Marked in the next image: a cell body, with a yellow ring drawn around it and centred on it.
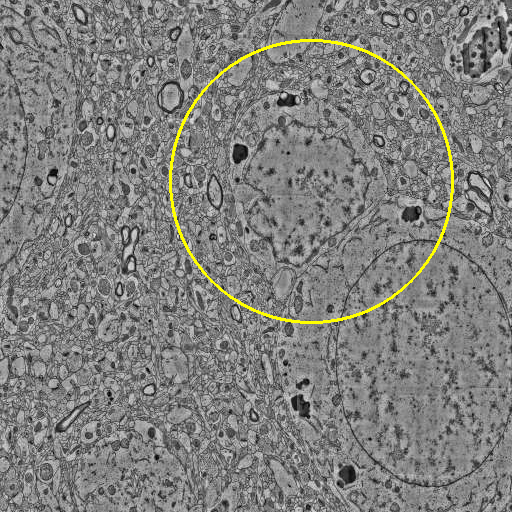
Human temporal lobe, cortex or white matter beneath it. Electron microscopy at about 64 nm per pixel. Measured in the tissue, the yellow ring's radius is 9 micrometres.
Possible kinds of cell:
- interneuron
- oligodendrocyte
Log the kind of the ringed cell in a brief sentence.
The ringed cell body is that of an interneuron.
